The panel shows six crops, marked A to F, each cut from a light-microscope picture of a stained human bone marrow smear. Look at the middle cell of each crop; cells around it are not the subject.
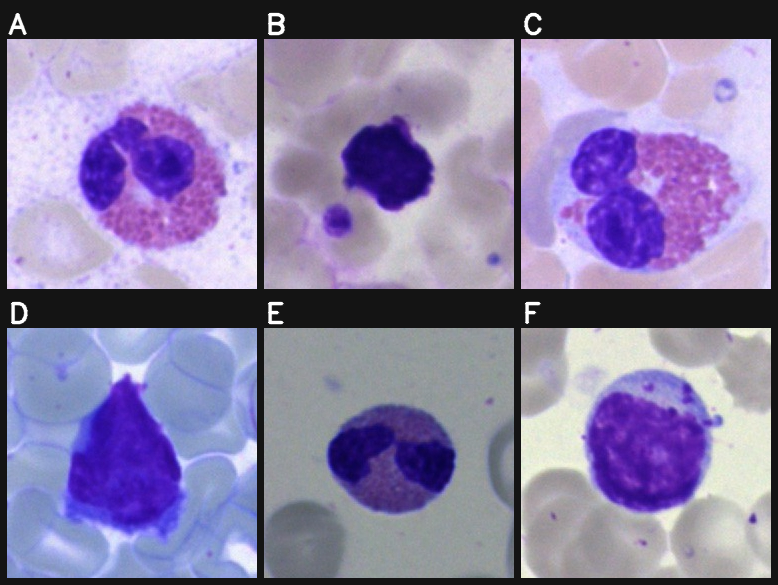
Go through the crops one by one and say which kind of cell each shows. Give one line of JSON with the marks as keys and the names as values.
{"A": "eosinophil", "B": "lymphocyte", "C": "eosinophil", "D": "lymphocyte", "E": "eosinophil", "F": "lymphocyte"}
